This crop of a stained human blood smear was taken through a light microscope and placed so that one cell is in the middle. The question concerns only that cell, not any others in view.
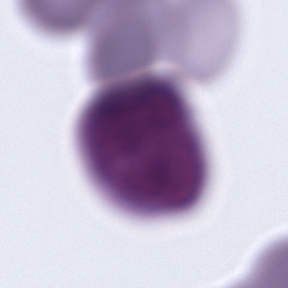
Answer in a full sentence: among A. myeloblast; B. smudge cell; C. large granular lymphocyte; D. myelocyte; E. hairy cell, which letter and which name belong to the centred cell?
The cell occupying the centre is a smudge cell; option B is thus the correct choice.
